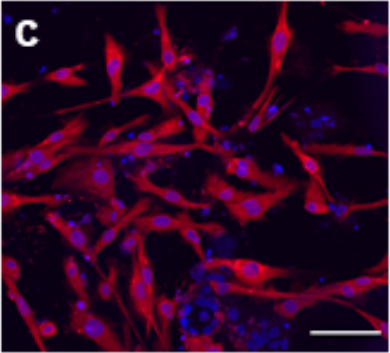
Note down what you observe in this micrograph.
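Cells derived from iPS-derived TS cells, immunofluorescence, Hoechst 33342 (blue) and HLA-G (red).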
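Extravillous cytotrophoblast-like cells are scattered as single, elongated cells with spindle or stellate forms and long slender processes. Each cell has one oval blue nucleus, and red stain fills the cytoplasm and processes of most of the cells.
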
